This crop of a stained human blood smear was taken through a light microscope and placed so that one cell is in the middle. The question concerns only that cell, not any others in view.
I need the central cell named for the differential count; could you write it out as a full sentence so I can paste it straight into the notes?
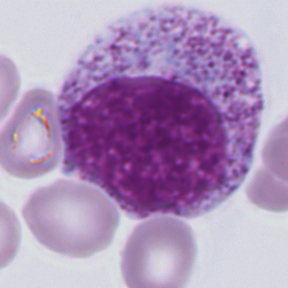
In the middle of this smear crop, the cell is a promyelocyte.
